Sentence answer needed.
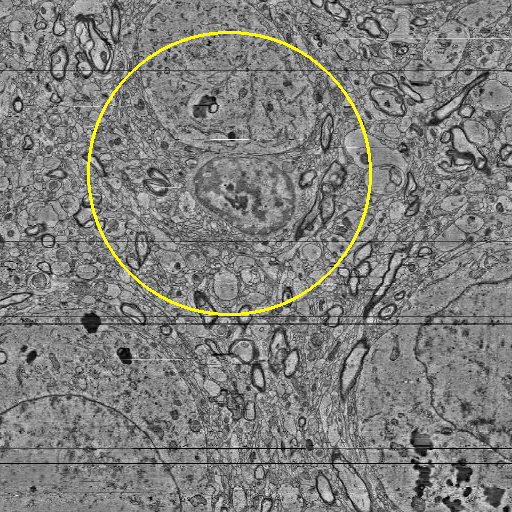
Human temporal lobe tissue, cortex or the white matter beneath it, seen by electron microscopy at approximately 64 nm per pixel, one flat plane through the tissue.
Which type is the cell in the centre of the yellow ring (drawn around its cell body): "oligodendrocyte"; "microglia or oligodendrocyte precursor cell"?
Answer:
In the centre of the yellow ring is an oligodendrocyte.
